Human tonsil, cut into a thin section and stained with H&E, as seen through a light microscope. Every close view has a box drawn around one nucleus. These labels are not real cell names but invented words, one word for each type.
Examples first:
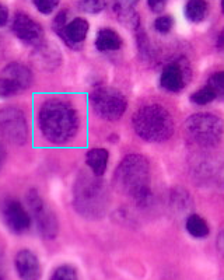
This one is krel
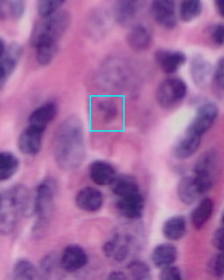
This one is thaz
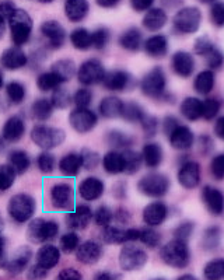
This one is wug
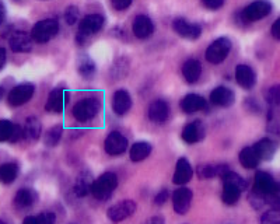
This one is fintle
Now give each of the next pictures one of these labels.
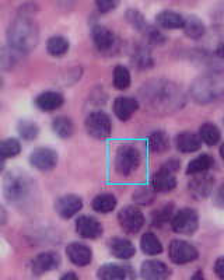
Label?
thaz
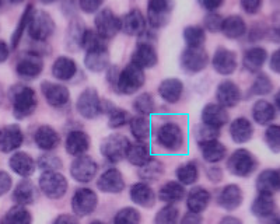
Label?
wug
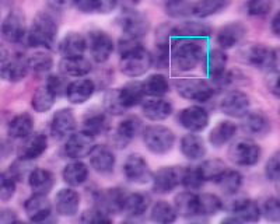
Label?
wug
